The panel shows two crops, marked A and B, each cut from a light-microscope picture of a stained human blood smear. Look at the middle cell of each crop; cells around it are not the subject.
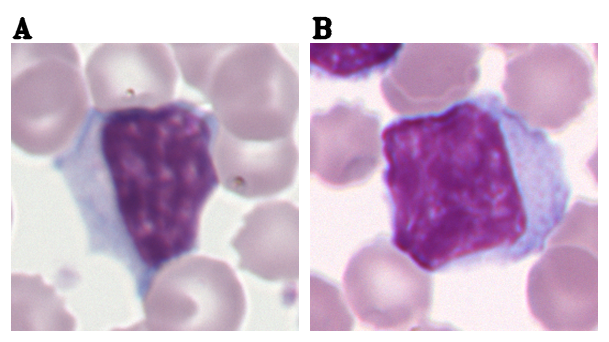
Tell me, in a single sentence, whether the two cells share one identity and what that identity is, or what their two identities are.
Yes, the pair of crops both show typical lymphocytes.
